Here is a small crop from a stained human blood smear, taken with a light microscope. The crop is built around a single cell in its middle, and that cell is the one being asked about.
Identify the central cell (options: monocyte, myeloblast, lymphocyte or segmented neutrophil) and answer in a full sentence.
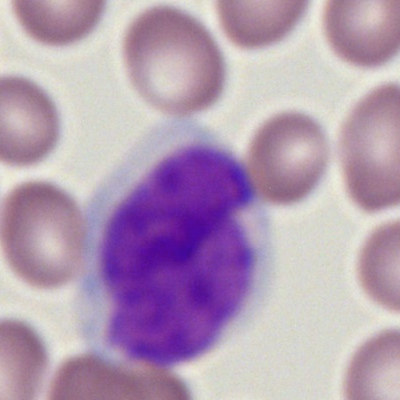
The center cell of this crop is a monocyte.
